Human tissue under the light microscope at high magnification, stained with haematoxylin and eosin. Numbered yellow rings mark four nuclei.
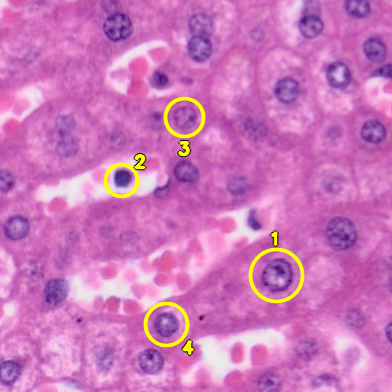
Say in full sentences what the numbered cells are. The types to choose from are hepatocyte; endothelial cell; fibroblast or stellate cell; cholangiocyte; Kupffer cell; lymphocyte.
Cell 1 is a hepatocyte, cell 2 is a lymphocyte, cell 3 is a hepatocyte and cell 4 is a hepatocyte.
